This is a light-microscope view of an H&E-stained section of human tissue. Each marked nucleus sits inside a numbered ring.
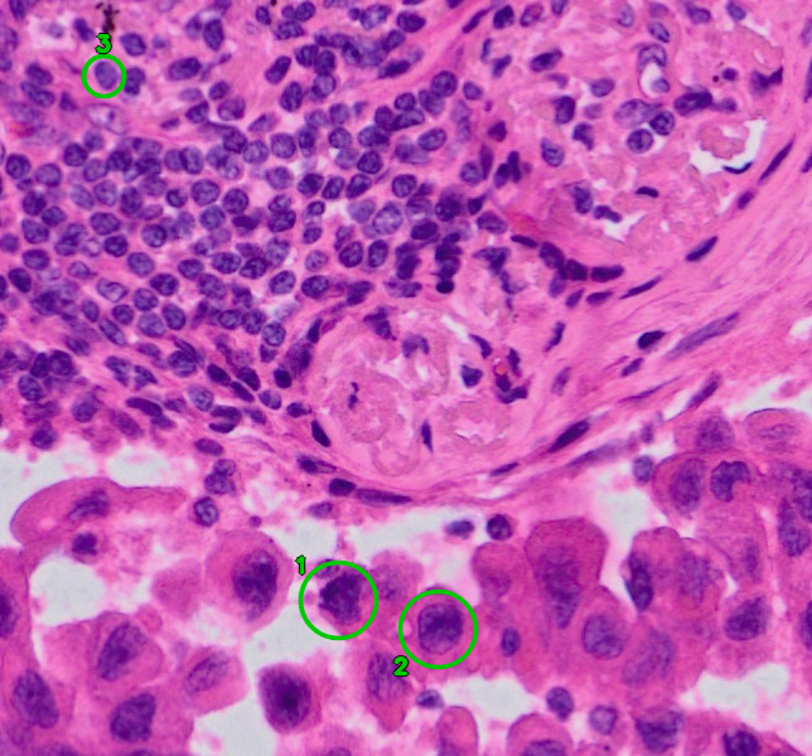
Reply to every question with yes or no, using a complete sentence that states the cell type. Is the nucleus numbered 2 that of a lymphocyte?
No; cell 2 is a carcinoma cell, not a lymphocyte.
